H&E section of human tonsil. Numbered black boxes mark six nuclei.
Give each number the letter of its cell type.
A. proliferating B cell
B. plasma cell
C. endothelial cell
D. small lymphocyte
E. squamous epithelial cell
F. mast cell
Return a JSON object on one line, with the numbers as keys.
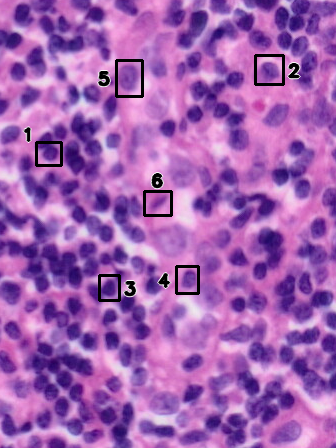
{"1": "D", "2": "C", "3": "D", "4": "C", "5": "C", "6": "C"}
